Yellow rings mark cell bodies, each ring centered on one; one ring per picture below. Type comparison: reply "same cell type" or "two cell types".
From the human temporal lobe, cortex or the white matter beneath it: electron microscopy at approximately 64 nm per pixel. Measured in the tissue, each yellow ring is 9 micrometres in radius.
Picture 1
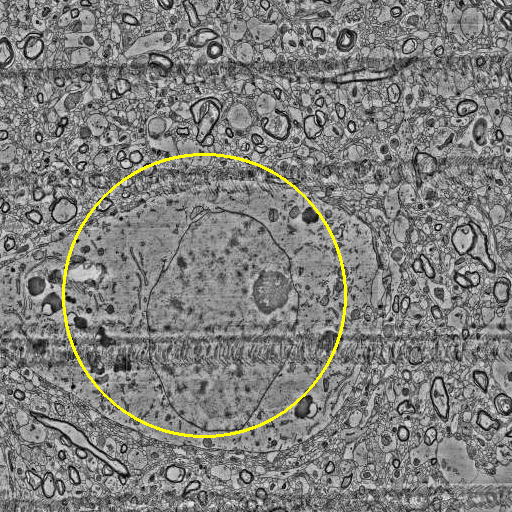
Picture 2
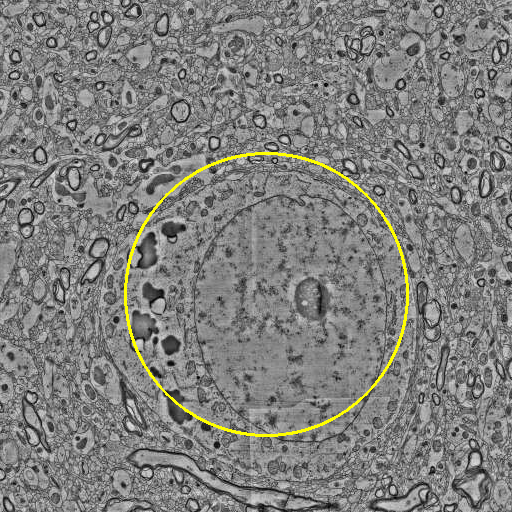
same cell type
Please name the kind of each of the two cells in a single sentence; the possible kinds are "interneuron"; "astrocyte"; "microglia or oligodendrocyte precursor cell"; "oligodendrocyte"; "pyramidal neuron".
Both cells are the same kind, each one being a pyramidal neuron.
